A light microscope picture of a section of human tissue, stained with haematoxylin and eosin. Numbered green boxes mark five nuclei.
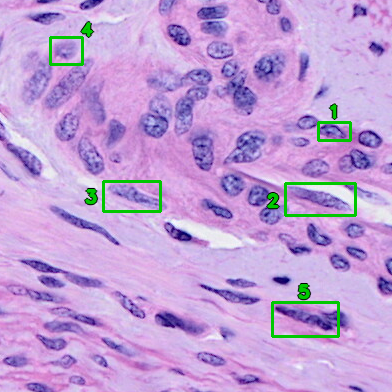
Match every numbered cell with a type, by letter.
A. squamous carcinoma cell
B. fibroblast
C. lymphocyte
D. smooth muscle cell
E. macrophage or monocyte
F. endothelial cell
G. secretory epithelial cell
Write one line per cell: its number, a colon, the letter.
1: D
2: F
3: D
4: D
5: F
